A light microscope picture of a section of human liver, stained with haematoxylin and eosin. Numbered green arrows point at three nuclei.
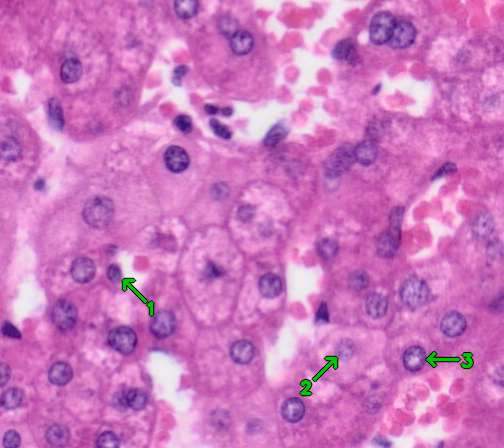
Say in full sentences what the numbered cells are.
Cell 1 is a Kupffer cell, cell 2 is a hepatocyte and cell 3 is a hepatocyte.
